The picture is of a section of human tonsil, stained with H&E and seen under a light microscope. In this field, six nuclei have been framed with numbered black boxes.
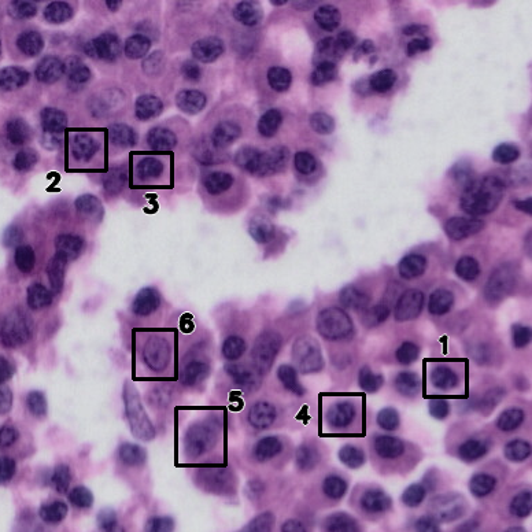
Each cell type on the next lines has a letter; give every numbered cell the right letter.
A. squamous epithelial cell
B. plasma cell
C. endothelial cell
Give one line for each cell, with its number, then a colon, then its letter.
1: B
2: B
3: B
4: B
5: A
6: A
